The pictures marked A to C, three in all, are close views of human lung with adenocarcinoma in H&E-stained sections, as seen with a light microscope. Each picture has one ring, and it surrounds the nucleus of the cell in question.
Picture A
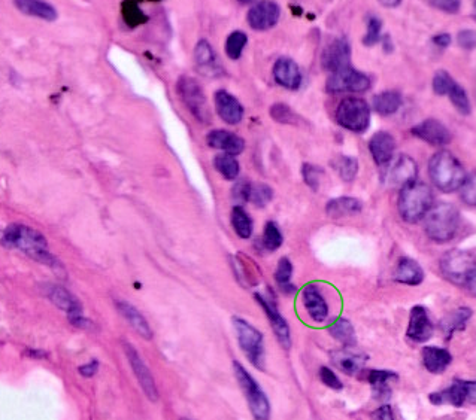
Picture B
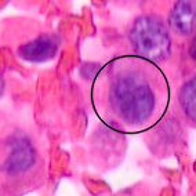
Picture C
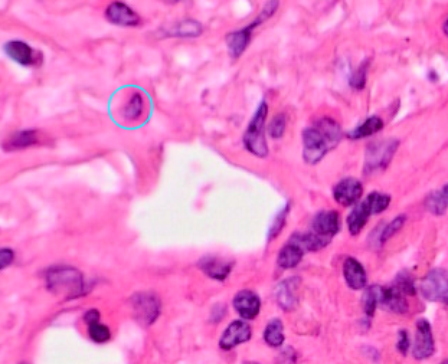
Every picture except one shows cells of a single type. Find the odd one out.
B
